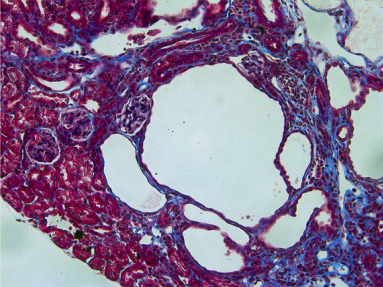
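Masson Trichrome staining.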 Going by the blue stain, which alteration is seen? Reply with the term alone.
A: Interstitial fibrosis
